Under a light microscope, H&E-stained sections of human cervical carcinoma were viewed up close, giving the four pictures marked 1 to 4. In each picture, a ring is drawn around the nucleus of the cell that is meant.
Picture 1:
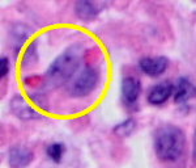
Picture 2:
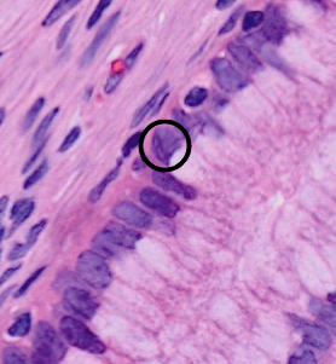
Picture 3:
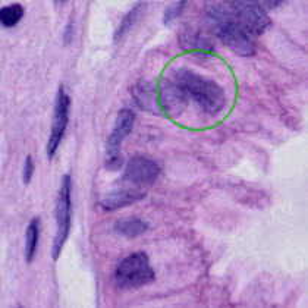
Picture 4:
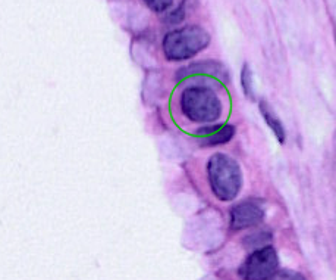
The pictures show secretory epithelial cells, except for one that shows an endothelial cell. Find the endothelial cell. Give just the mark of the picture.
1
